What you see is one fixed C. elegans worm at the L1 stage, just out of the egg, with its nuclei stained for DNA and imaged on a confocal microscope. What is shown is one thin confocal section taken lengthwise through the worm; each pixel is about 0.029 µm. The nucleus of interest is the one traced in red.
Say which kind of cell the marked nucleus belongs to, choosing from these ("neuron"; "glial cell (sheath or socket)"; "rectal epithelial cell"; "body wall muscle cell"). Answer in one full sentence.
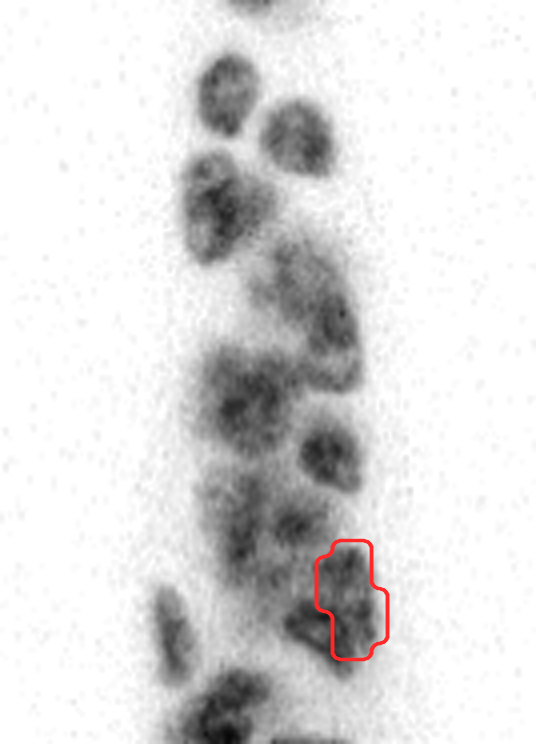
This nucleus is from a body wall muscle cell.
